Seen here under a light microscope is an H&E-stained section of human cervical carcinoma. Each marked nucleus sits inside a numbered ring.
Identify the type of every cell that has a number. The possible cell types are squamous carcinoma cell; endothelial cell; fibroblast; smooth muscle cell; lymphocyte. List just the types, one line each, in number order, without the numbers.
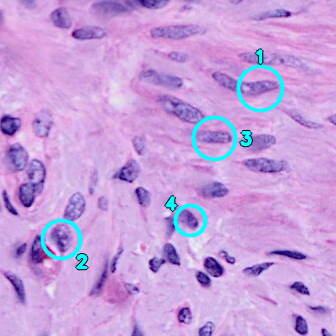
smooth muscle cell
endothelial cell
smooth muscle cell
fibroblast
